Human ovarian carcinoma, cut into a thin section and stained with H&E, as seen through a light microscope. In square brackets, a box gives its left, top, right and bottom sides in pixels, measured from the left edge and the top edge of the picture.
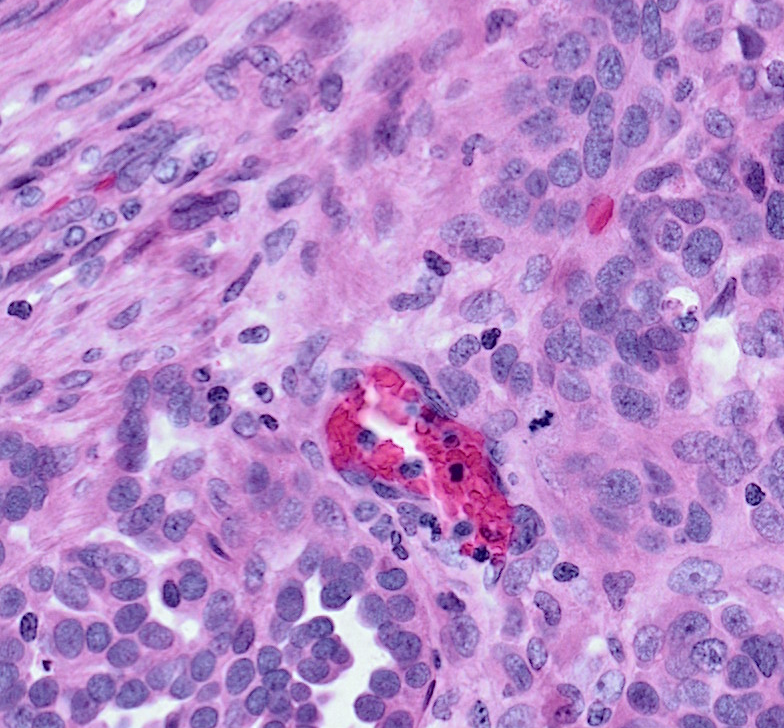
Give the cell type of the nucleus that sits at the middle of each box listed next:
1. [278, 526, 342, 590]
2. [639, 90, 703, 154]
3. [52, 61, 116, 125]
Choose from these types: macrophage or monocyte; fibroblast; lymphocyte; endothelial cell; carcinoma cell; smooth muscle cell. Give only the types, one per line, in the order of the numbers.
carcinoma cell
carcinoma cell
fibroblast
